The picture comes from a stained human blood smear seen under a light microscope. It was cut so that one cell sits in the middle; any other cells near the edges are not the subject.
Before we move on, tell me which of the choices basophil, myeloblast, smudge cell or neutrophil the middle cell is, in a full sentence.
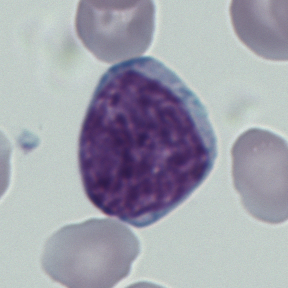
The middle cell in this particular crop is a myeloblast.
